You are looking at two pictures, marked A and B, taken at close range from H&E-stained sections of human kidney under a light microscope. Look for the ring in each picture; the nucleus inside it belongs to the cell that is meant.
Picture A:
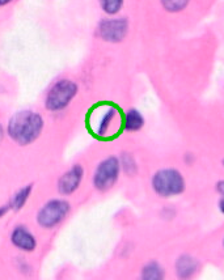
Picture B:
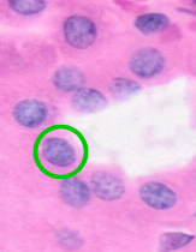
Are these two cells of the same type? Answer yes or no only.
no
